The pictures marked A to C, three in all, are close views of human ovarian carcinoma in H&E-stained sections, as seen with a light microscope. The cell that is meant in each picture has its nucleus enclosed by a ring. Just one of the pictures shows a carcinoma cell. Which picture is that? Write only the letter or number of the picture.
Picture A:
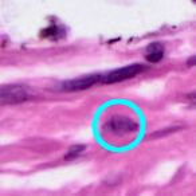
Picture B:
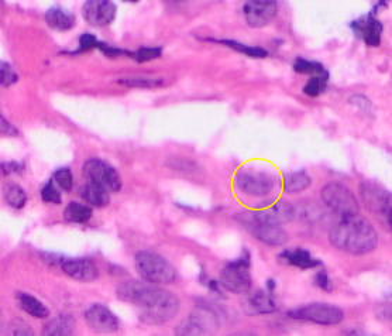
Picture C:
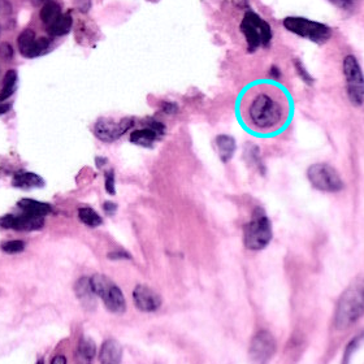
B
